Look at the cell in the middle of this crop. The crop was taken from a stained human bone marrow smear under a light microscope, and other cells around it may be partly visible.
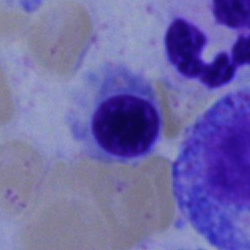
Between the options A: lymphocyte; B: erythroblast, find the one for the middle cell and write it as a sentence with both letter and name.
The central cell in this crop is an erythroblast, corresponding to option B, the correct option.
